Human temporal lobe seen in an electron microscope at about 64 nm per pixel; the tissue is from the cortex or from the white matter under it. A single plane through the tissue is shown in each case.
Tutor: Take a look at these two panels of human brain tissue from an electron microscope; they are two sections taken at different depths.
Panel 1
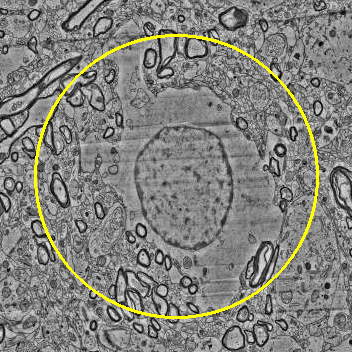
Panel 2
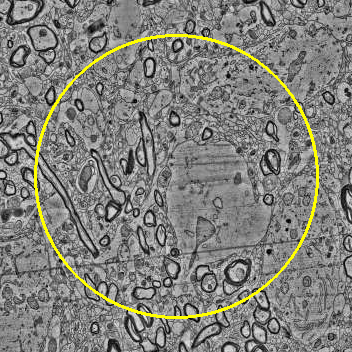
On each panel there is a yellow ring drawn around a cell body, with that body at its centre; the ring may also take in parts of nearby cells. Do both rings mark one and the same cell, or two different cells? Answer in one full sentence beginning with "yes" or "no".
Yes, the two yellow circles hold the same cell.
